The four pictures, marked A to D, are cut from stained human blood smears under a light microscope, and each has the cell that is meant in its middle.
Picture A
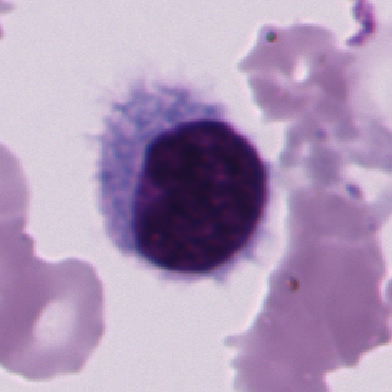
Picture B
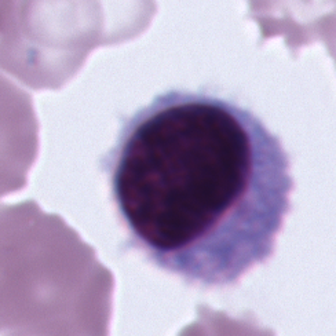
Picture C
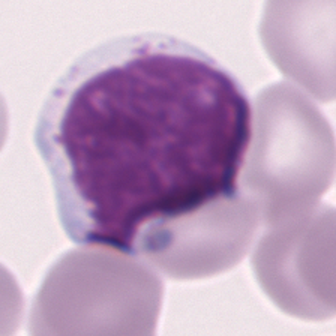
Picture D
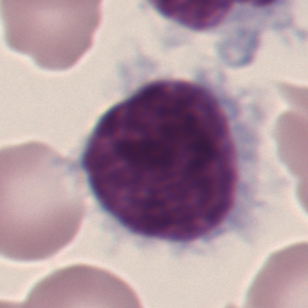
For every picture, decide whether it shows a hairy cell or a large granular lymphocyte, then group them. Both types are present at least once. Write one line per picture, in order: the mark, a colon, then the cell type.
A: hairy cell
B: hairy cell
C: large granular lymphocyte
D: hairy cell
